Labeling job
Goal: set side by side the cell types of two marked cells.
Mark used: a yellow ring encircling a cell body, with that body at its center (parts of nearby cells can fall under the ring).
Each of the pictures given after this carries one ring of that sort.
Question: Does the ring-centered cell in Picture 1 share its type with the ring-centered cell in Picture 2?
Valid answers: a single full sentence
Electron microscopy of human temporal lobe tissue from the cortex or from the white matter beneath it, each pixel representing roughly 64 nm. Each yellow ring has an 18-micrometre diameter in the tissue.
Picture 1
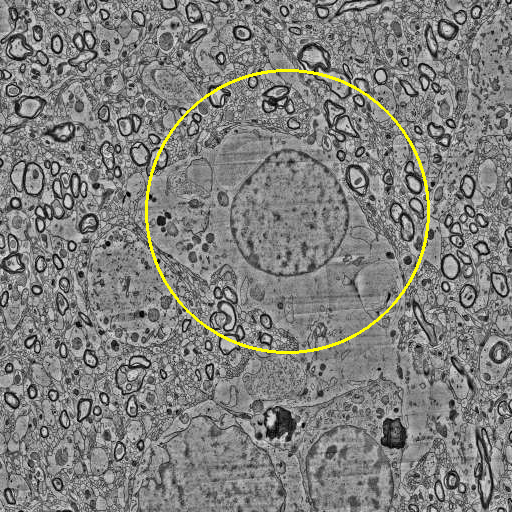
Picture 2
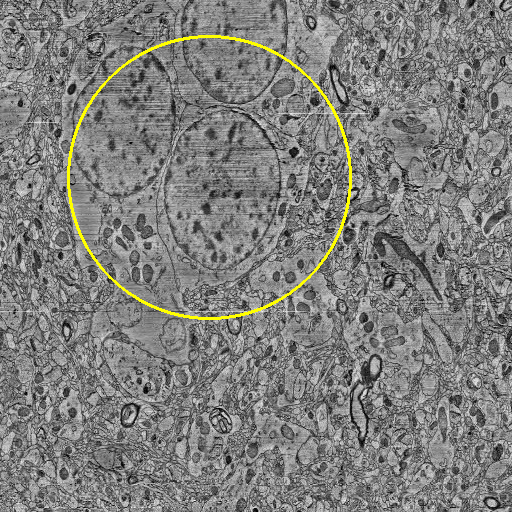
Yes, in Pictures 1 and 2 the cells at the ring centers share one type.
